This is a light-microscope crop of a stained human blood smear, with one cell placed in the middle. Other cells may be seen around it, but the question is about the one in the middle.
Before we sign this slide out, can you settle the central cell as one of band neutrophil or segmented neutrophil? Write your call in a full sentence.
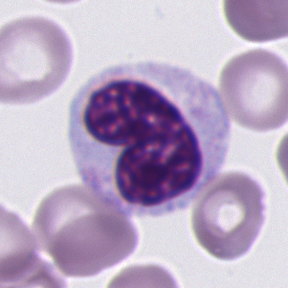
On this slide crop, the central cell is a band neutrophil.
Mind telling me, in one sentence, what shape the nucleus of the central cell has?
The cell carries one compact nucleus shaped round, oval or like a kidney.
